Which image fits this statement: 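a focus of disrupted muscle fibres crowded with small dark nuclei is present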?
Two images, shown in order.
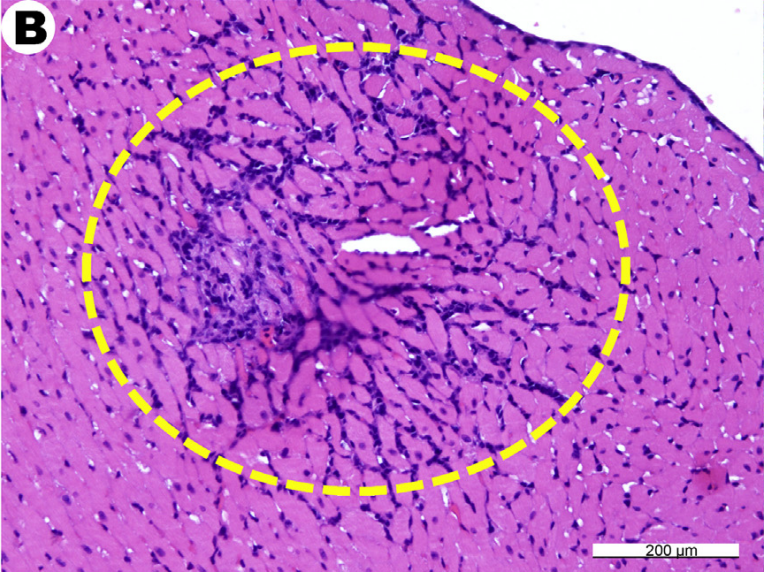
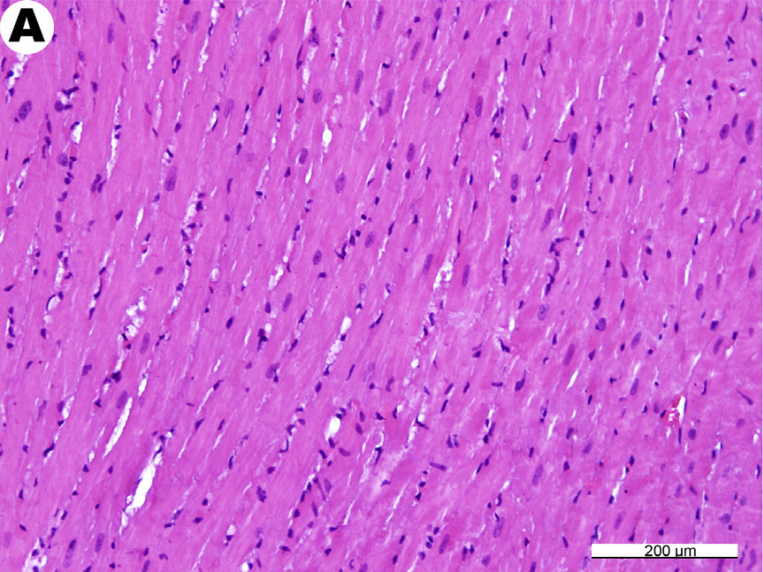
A: The first image.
